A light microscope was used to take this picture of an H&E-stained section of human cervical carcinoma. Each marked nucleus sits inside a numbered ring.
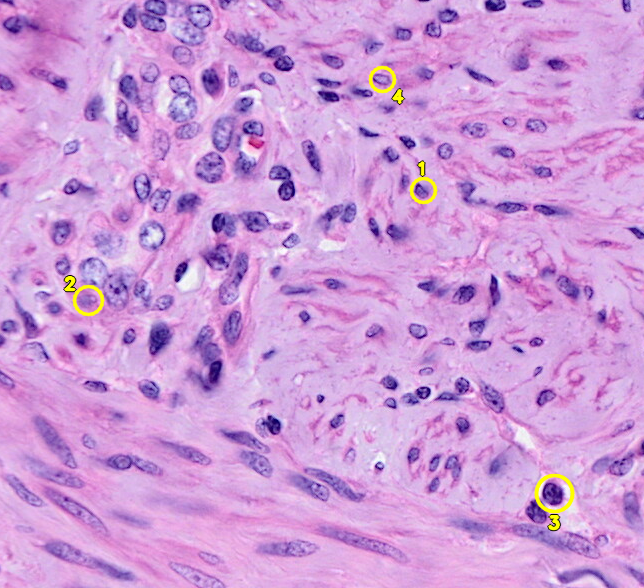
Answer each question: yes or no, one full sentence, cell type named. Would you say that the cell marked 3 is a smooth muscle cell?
No, cell 3 represents a lymphocyte rather than a smooth muscle cell.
